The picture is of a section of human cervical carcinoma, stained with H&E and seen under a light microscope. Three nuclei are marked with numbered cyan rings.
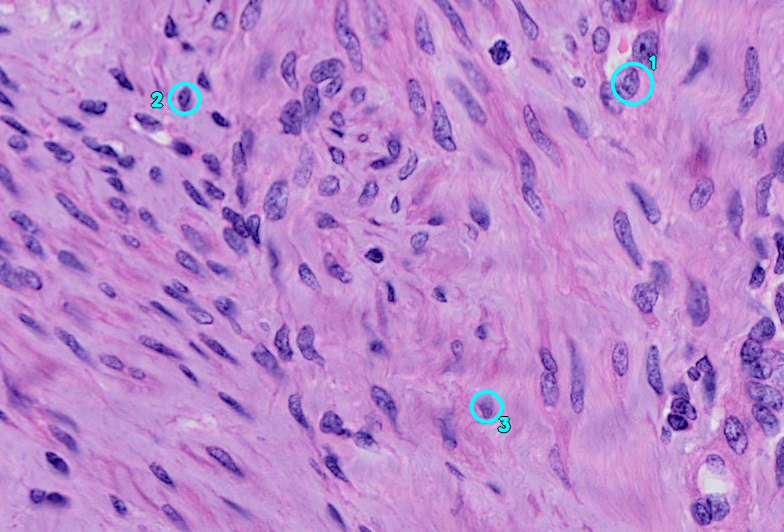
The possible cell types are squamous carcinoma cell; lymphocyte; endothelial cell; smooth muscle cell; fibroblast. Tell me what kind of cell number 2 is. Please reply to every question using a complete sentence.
As for number 2, that cell is a fibroblast.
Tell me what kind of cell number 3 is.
Identified by the number 3, the cell is a smooth muscle cell.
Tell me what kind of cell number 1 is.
Regarding cell 1, this one is an endothelial cell.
